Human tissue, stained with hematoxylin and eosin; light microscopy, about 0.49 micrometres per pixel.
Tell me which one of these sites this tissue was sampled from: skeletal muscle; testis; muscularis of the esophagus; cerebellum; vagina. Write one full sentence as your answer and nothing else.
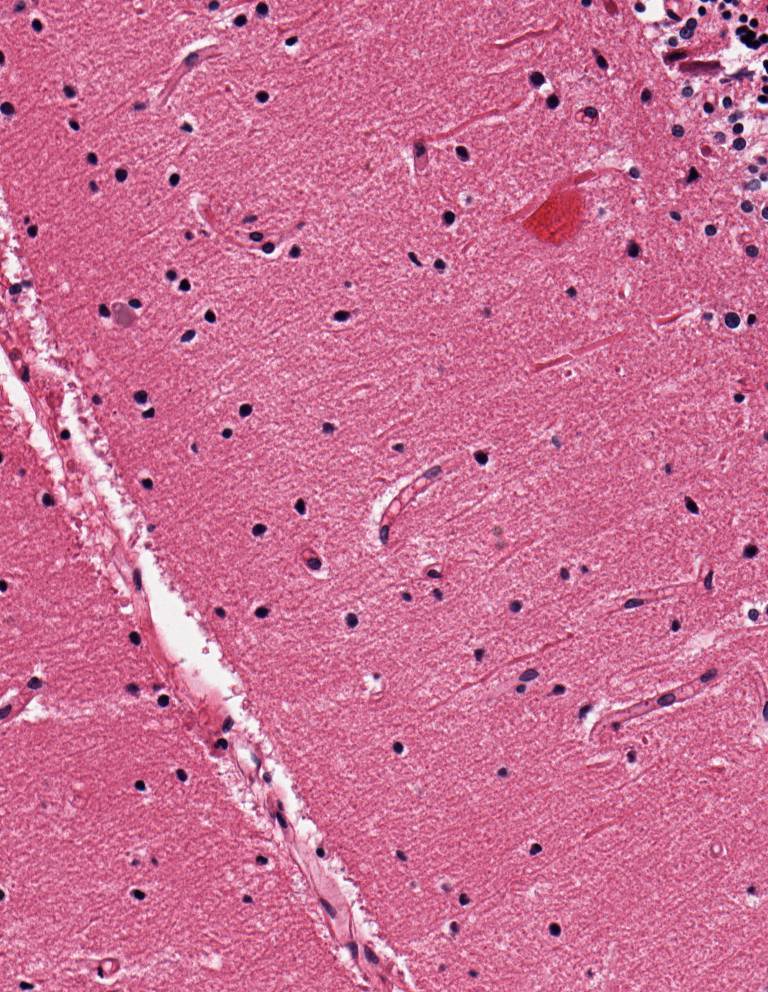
The sampled site for this tissue is the cerebellum.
